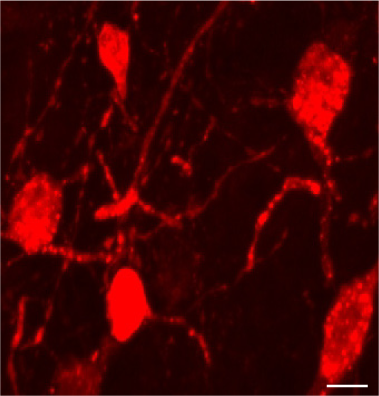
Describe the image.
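The cell bodies are rounded to oval, some somewhat elongated, and several of them give rise to thin red processes that branch and run across the field, some between neighbouring cells. The nuclei are not separately outlined, as the label fills the cell bodies. Between the labelled cells the background is dark with faint red texture, and fine threads of labelled processes can be followed for some distance away from their cell bodies.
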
